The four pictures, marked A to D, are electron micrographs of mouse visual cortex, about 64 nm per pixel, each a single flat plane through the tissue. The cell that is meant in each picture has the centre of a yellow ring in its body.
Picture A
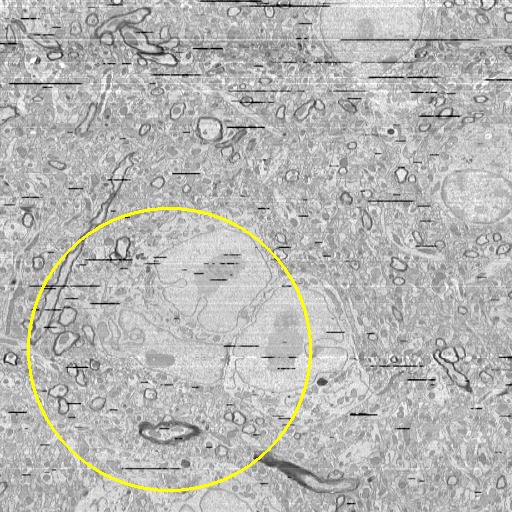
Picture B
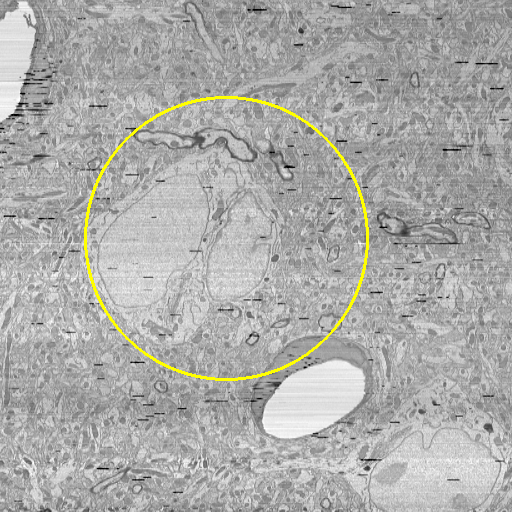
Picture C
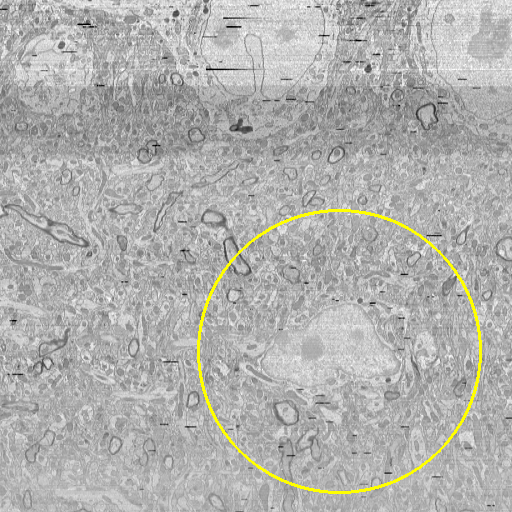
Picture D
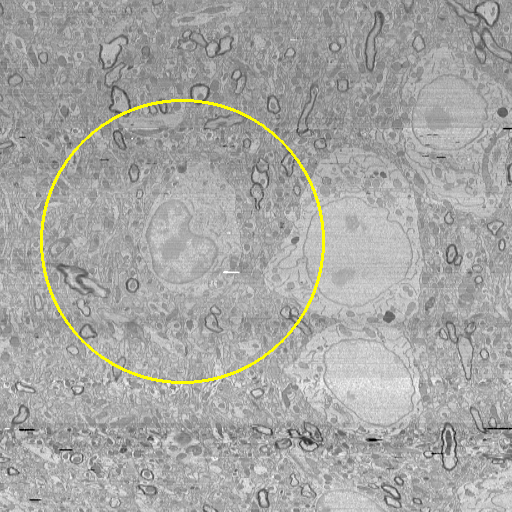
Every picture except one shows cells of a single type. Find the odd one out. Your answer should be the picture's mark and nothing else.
D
